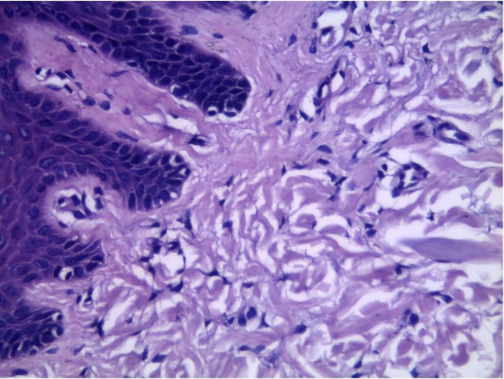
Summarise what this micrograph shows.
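This is the junction of epidermis and dermis in skin, with purple epidermal rete ridges reaching down into pale pink dermis. The basal cells of the ridges are small, crowded and darkly stained, while cells further up have more pink cytoplasm and distinct borders. Narrow dermal papillae between the ridges hold small capillaries. The dermis beneath is made of loose, wavy pink collagen bundles with clefts between them. Scattered small dark nuclei, some spindle-shaped and some round, lie among the fibres and around small vessels.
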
